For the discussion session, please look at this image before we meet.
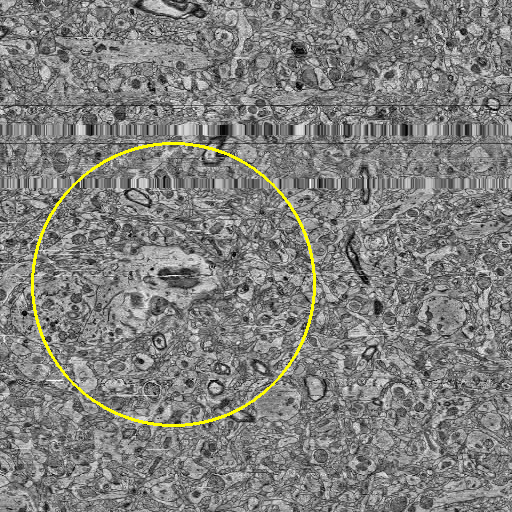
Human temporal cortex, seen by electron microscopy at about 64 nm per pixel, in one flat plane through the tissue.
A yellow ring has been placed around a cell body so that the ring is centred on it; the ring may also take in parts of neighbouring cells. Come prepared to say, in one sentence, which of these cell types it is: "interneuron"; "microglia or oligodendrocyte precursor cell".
The cell centred in the ring is a microglial cell or oligodendrocyte precursor cell.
